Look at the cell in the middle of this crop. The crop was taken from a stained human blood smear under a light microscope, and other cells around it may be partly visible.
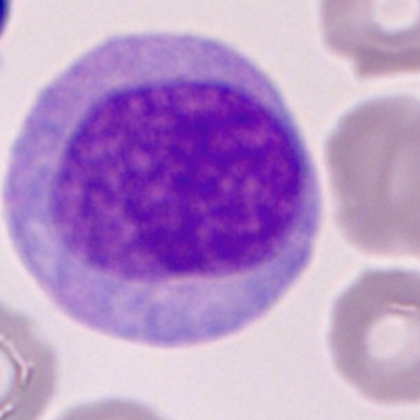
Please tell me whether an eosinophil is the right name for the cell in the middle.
no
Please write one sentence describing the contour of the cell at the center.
Its periphery is smooth, and no projections arise from it.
